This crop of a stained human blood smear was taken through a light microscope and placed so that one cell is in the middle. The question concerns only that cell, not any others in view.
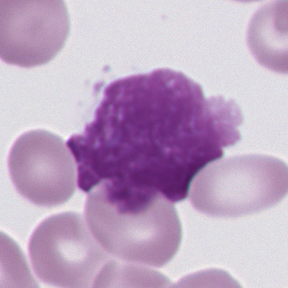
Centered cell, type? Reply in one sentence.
The cell positioned in the middle of the field is a smudge cell.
